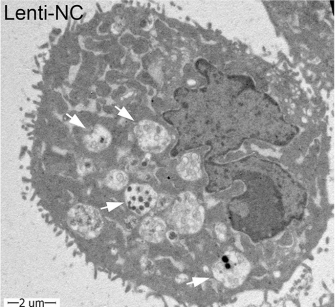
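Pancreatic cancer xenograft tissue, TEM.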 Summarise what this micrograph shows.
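A single tumour cell is shown by transmission electron microscopy, with an irregular, folded, dense nucleus. Its cytoplasm is crowded with round membrane-bound vacuoles, autophagosomes and autophagosome-fused lysosomes, which hold pale granular or dense material. Short surface projections fringe the cell outline.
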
